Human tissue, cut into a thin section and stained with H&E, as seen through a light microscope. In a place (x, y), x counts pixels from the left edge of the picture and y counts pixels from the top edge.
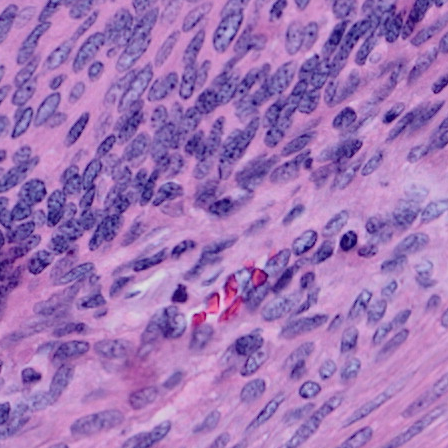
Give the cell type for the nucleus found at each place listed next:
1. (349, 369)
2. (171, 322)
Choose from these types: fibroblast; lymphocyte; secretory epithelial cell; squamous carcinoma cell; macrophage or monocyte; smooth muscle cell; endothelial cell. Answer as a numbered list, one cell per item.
1. smooth muscle cell
2. endothelial cell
